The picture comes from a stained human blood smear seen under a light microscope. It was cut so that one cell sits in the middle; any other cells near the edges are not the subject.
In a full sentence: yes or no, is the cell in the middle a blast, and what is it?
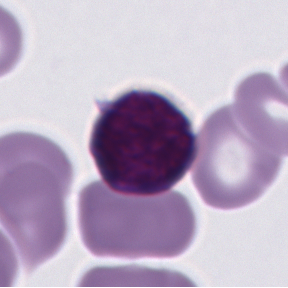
Yes, the central cell of this crop corresponds to a blast.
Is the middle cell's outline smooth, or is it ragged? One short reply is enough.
The outline of this cell is not smooth but ragged or drawn out into projections.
